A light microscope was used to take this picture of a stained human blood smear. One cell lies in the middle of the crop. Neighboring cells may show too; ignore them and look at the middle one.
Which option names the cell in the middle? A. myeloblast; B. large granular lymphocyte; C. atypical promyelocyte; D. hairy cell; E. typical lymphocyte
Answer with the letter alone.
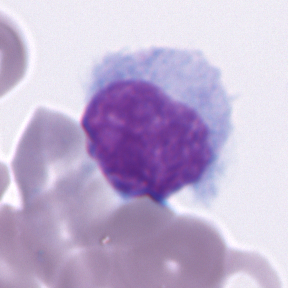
D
